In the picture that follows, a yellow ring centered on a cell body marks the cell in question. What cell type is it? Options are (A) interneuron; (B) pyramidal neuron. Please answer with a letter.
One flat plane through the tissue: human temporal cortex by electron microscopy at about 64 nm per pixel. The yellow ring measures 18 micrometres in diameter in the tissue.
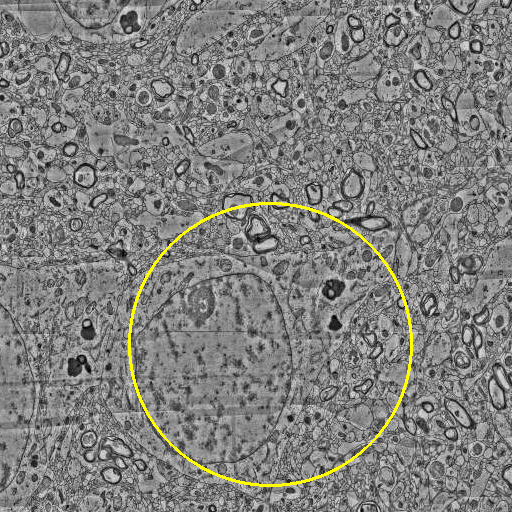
B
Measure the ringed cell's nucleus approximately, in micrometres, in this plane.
Approximately 13 micrometres long and 10 micrometres wide, in this plane.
